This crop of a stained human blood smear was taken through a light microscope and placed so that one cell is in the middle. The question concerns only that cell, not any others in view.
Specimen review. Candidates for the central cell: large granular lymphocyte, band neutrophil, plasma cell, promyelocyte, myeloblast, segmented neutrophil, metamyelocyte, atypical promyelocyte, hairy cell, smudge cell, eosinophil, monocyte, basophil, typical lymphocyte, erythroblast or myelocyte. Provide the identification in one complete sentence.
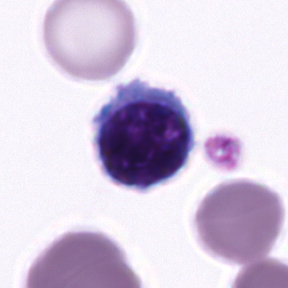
In the middle of this smear crop, the cell is a plasma cell.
